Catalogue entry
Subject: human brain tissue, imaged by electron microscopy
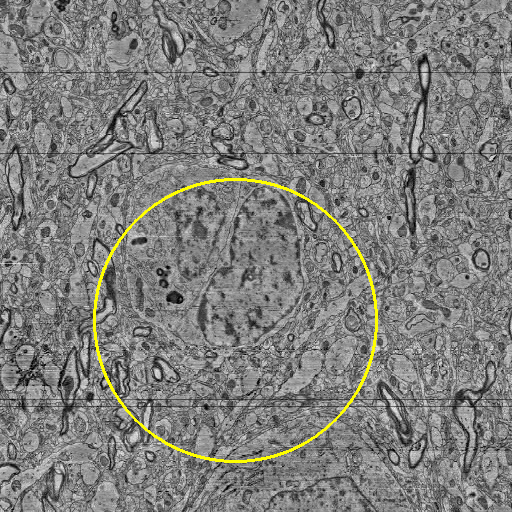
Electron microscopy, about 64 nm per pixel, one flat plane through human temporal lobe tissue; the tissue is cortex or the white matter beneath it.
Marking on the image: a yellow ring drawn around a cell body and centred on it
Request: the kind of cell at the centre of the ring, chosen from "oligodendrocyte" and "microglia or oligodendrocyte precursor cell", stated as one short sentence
The ring has a microglial cell or oligodendrocyte precursor cell at its centre.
